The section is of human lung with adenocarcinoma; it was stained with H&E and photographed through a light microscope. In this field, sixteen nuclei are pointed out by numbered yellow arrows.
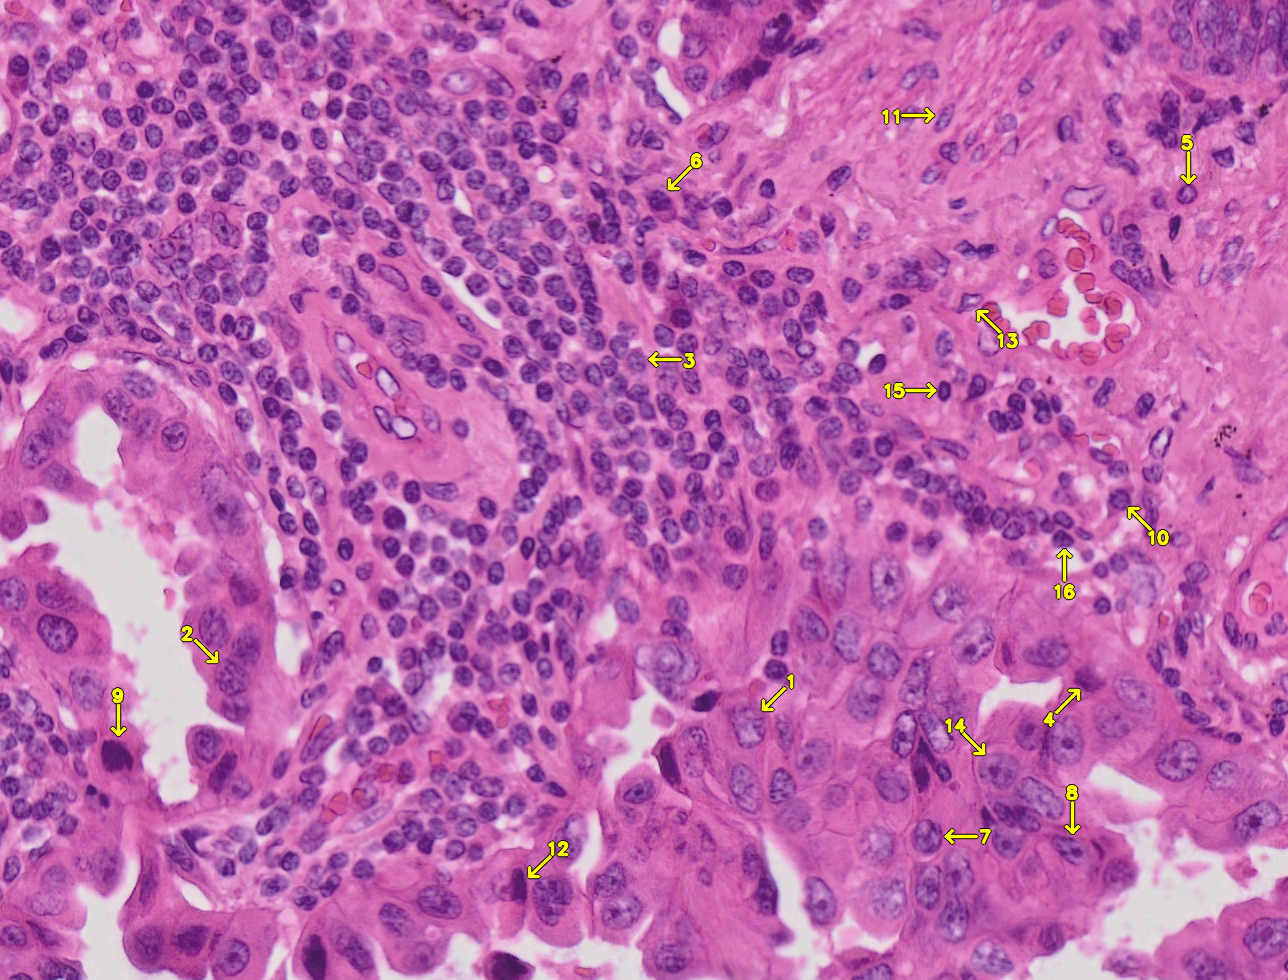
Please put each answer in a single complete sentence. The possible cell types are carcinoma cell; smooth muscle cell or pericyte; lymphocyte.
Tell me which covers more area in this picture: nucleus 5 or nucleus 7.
It is nucleus 7, which covers about 3 times the area of nucleus 5.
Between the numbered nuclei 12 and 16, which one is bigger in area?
Nucleus 12 is the larger one, covering about 1.5 times the area of nucleus 16.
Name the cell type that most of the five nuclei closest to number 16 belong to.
Most of the five nuclei nearest to number 16 are those of lymphocytes.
